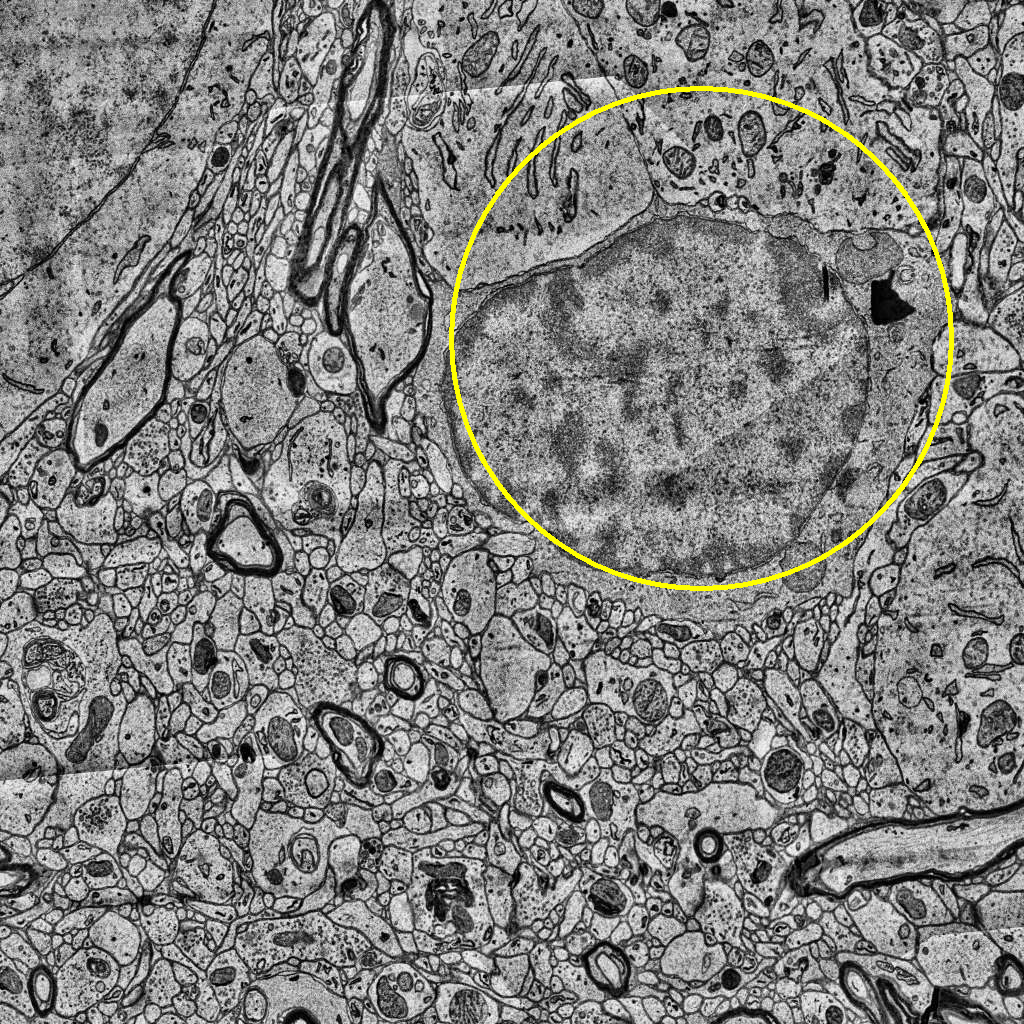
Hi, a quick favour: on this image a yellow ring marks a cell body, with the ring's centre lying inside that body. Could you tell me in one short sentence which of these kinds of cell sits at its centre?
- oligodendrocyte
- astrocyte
The ring's centre lies in an oligodendrocyte.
